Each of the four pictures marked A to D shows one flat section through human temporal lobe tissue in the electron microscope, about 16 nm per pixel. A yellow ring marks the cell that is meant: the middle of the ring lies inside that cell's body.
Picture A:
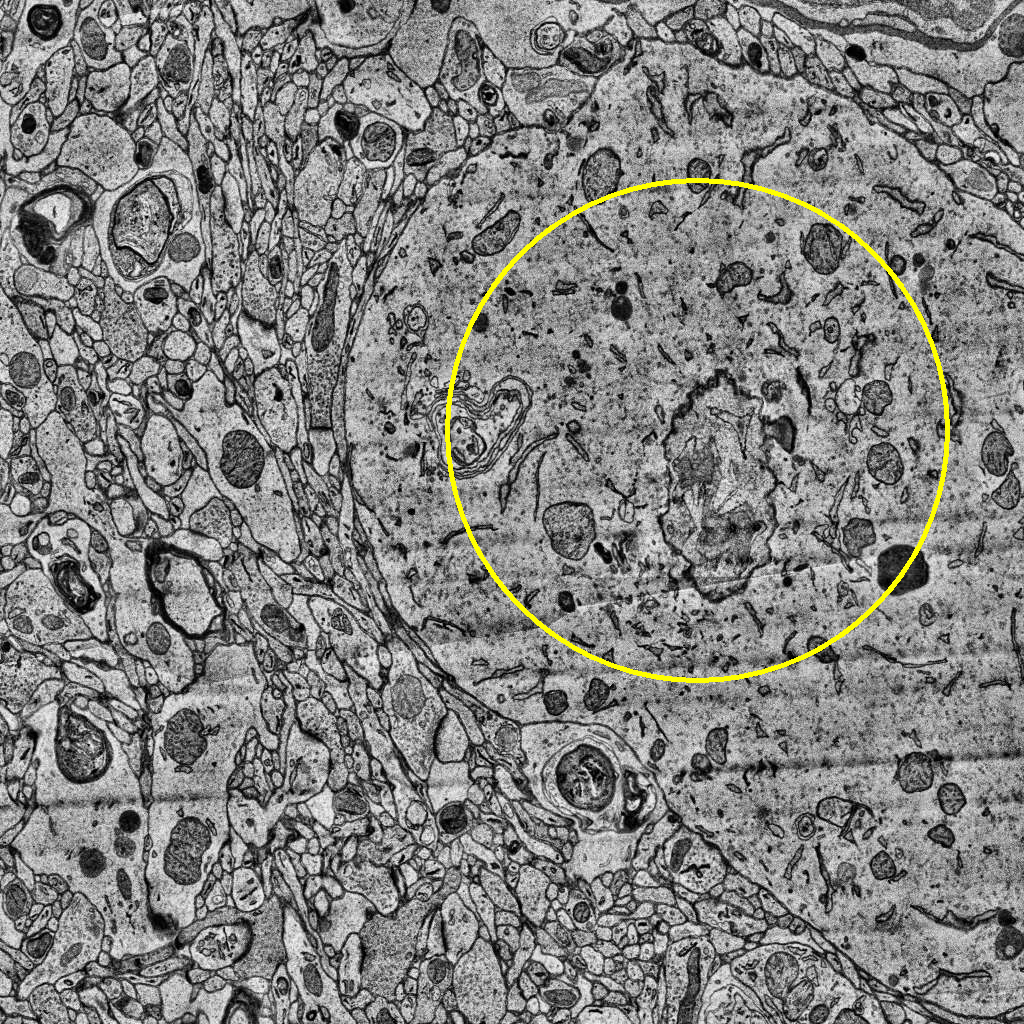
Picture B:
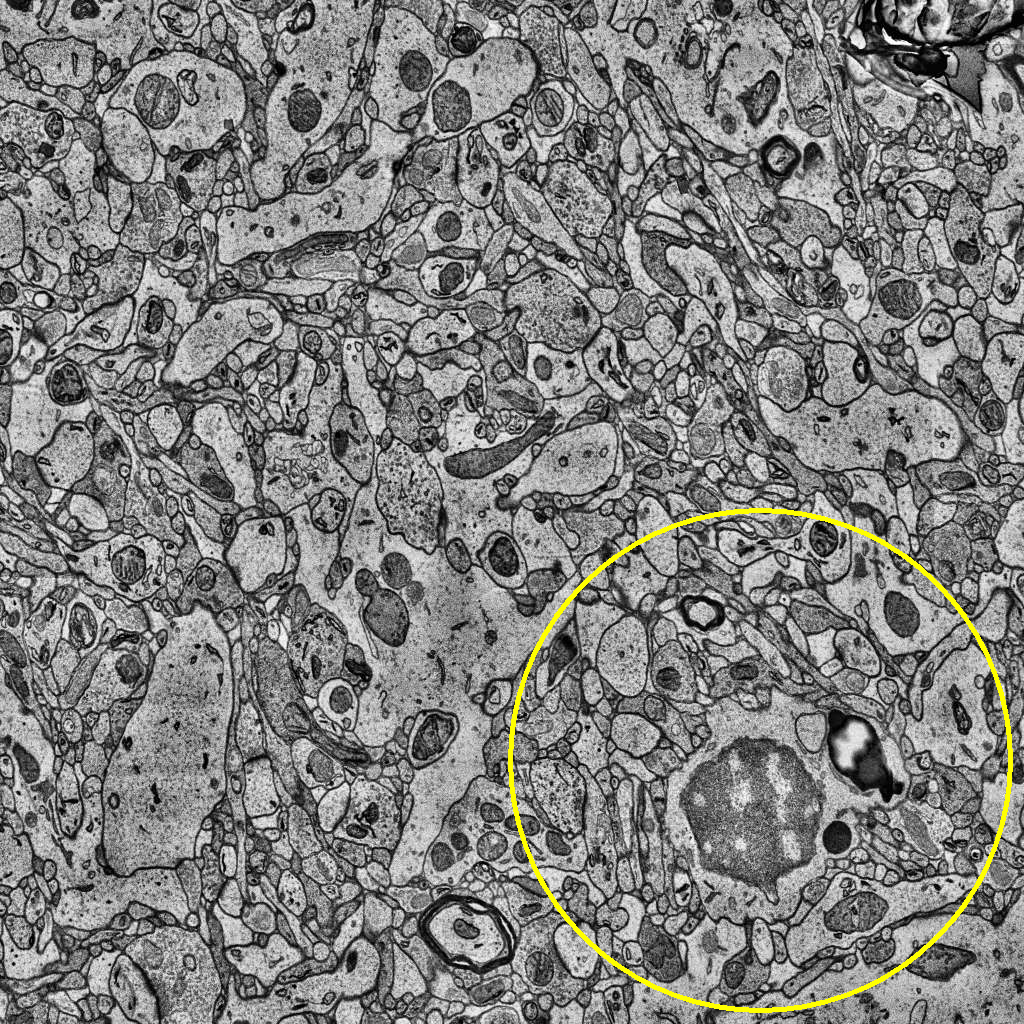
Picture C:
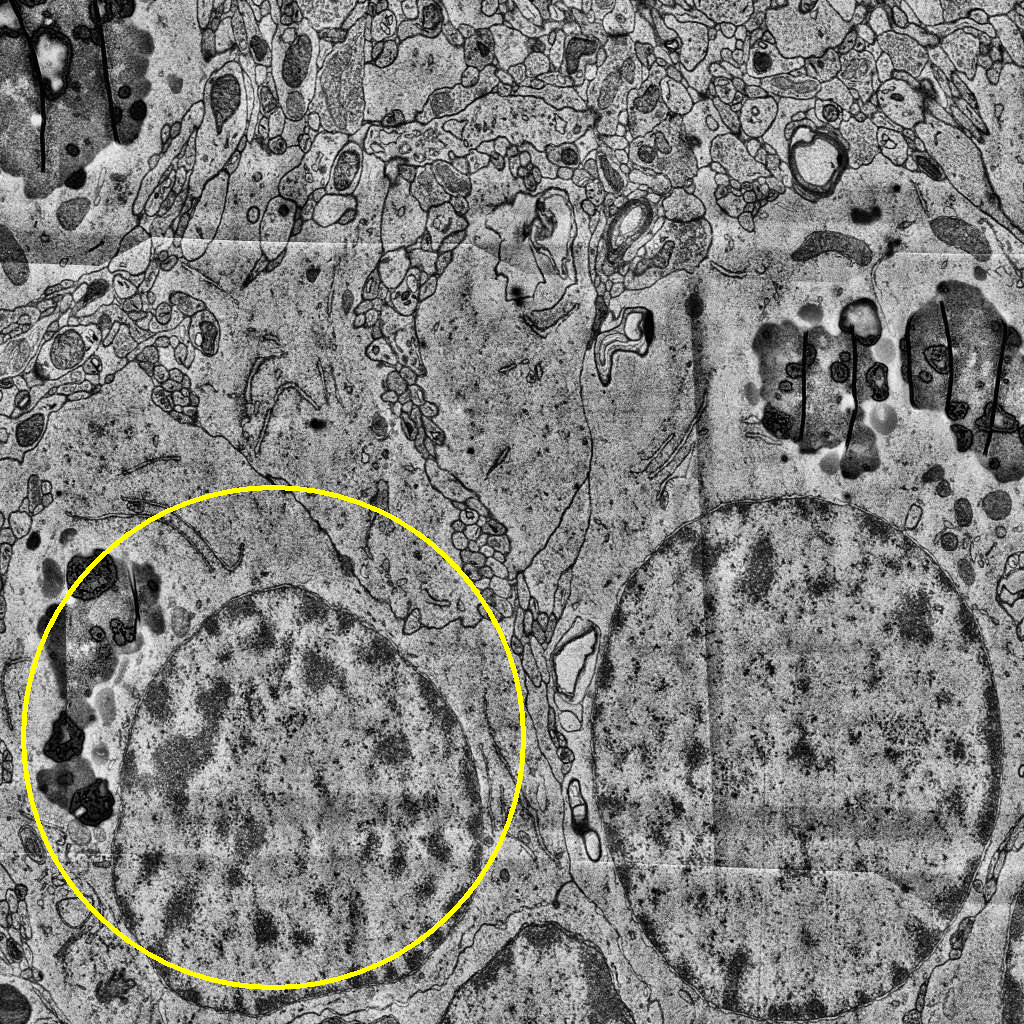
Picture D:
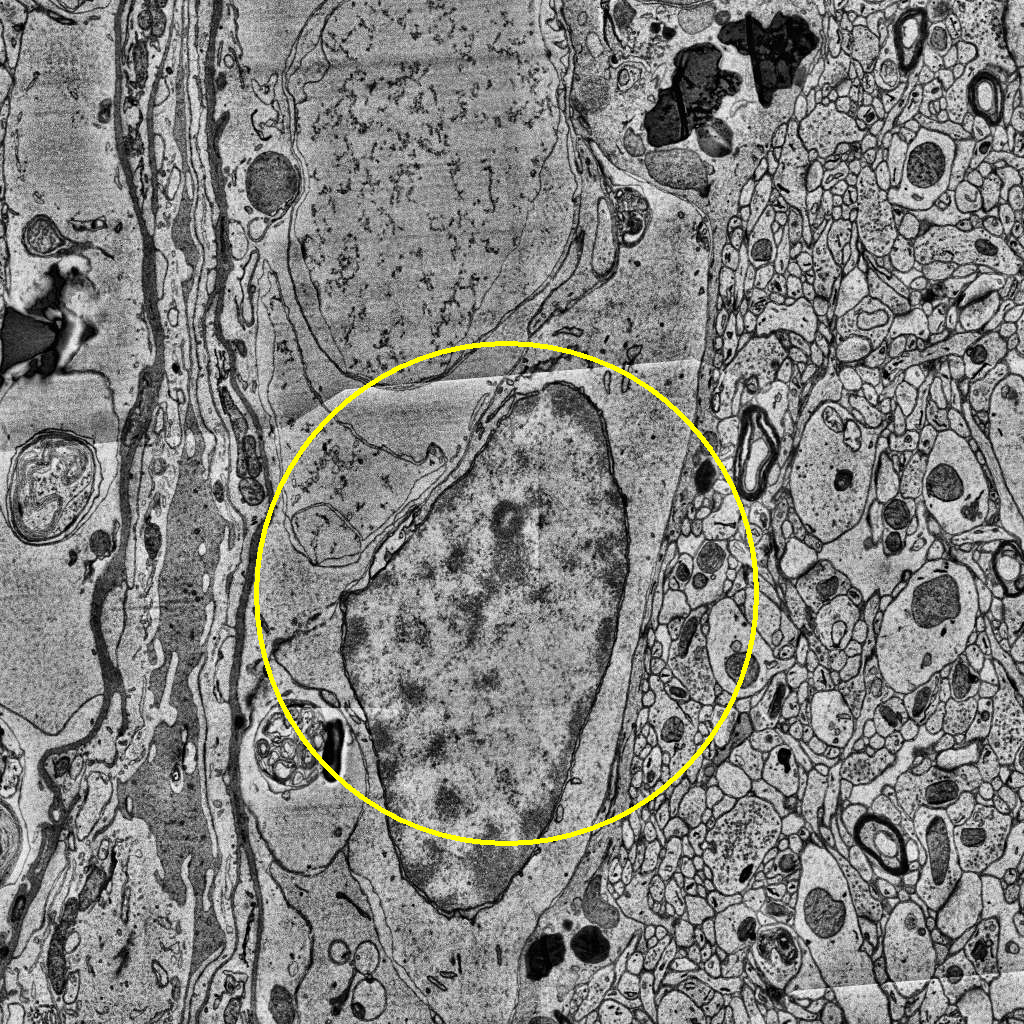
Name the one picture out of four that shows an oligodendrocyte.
Picture A shows the oligodendrocyte.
